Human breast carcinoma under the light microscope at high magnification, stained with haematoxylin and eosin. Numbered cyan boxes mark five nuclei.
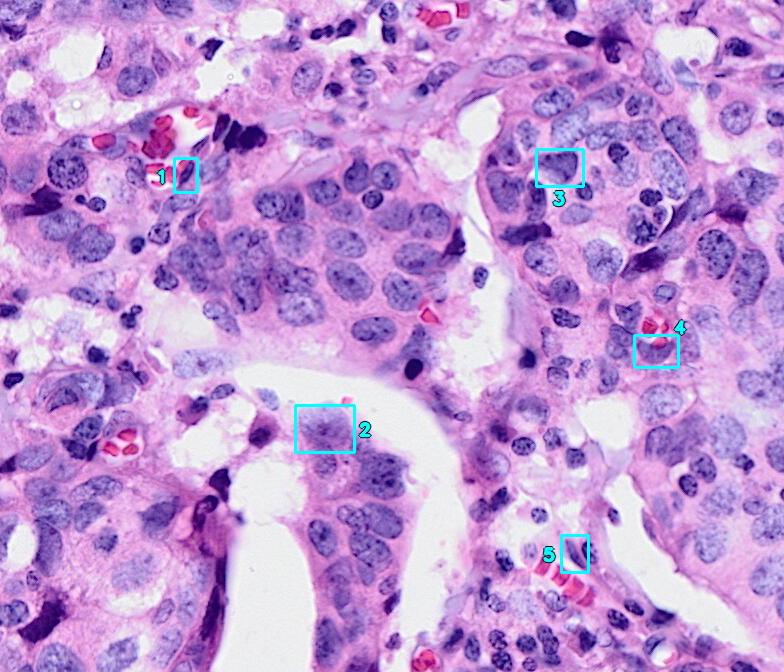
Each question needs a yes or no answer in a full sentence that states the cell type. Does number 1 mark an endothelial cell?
Yes, the cell referred to as number 1 is an endothelial cell.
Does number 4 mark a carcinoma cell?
No, cell 4 is correctly identified as an endothelial cell and not as a carcinoma cell.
